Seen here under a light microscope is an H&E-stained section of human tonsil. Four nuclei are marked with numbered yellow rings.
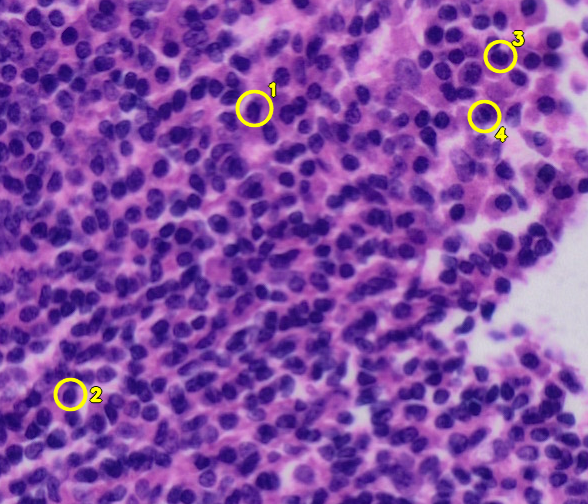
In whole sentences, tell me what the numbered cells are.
Cell 1 is a plasma cell, cell 2 is a small lymphocyte, cell 3 is a plasma cell and cell 4 is a plasma cell.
